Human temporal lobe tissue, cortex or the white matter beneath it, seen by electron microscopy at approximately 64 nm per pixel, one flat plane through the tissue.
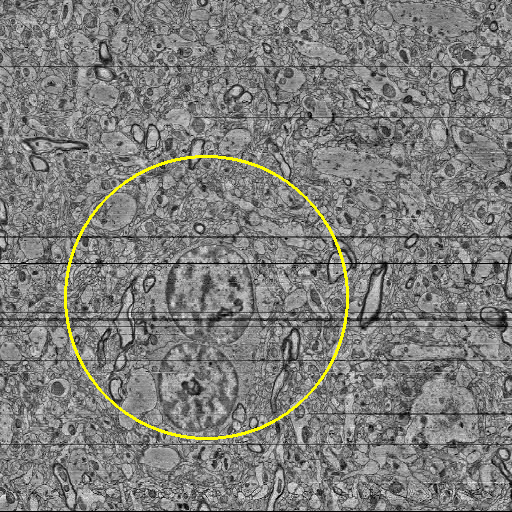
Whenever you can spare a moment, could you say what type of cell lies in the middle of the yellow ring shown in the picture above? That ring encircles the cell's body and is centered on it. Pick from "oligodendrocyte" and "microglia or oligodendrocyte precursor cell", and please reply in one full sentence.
The cell whose body sits at the middle of the yellow ring is an oligodendrocyte.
